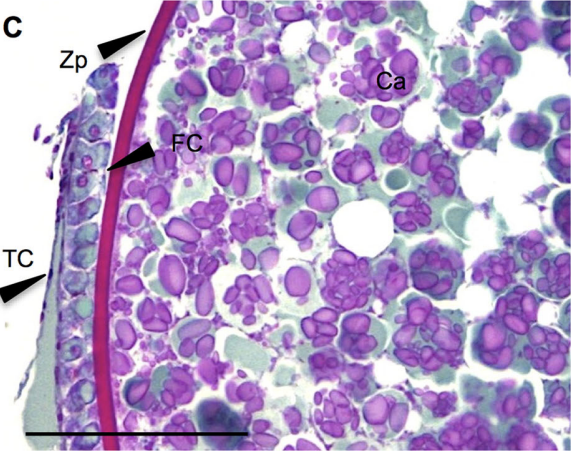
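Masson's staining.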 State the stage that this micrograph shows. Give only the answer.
Vitellogenic follicle.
